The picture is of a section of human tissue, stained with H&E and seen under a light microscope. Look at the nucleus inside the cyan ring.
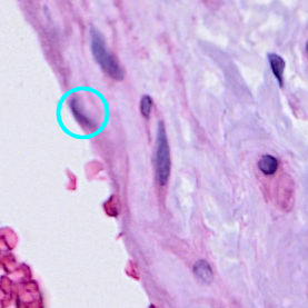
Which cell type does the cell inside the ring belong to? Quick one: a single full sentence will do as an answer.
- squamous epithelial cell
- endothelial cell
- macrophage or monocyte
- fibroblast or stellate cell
Placed in its cell category, the cell inside the ring is an endothelial cell.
